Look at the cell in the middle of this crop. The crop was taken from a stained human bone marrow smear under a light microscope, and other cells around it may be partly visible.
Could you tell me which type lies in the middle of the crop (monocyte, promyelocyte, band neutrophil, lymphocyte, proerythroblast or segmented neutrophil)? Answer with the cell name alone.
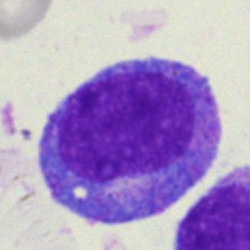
promyelocyte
